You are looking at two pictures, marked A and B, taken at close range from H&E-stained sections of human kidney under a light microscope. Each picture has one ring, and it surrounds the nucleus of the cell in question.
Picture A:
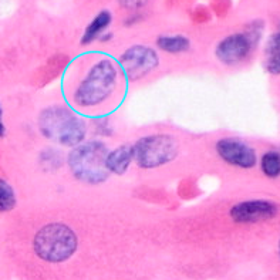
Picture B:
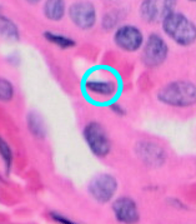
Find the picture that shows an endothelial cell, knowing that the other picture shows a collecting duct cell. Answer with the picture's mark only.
B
